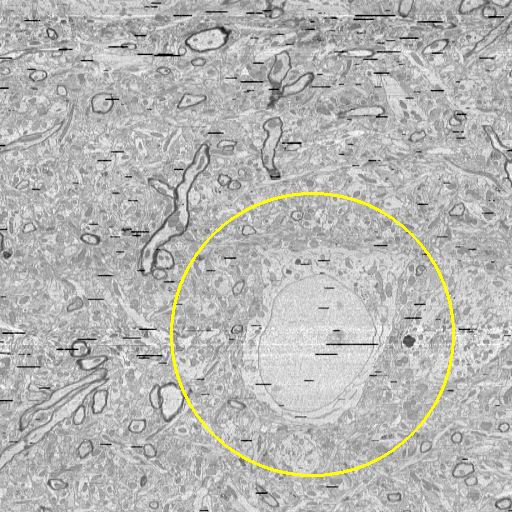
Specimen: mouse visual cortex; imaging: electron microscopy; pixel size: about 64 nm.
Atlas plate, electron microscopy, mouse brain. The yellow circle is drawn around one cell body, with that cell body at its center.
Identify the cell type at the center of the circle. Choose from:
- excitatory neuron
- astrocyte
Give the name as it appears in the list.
excitatory neuron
